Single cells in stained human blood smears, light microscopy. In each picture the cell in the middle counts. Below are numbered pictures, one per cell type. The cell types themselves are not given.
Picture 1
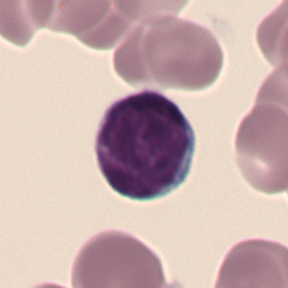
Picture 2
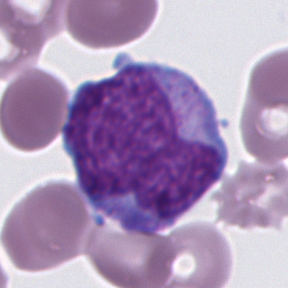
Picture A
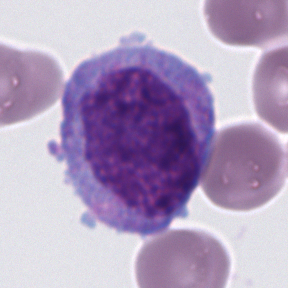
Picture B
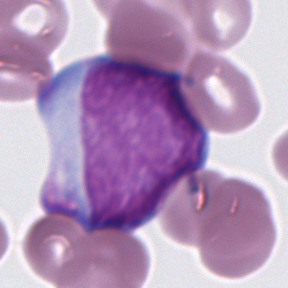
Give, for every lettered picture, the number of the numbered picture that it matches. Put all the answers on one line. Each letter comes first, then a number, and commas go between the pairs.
A 2, B 2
